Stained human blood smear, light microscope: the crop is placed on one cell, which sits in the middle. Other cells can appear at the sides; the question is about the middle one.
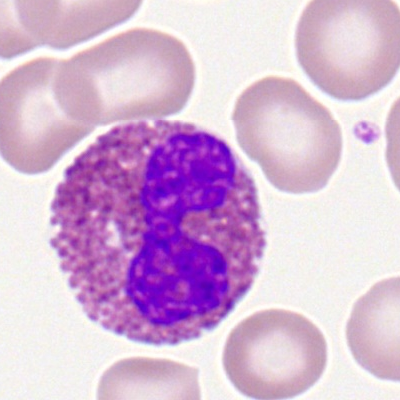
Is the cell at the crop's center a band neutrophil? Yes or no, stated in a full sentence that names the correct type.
No, the cell in the middle of the crop counts as an eosinophil and not as a band neutrophil.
